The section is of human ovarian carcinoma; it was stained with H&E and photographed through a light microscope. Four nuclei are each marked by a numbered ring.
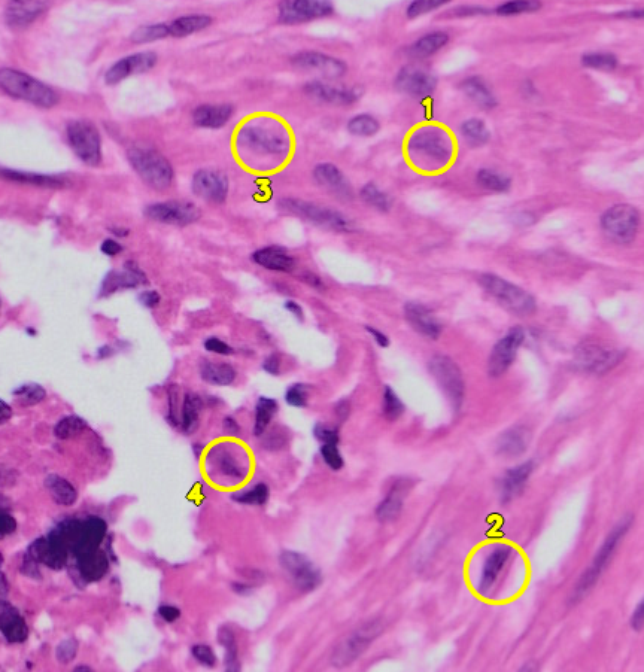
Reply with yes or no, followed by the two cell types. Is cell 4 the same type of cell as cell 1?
No, cell 4 is a macrophage or monocyte and cell 1 is a fibroblast.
